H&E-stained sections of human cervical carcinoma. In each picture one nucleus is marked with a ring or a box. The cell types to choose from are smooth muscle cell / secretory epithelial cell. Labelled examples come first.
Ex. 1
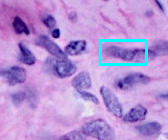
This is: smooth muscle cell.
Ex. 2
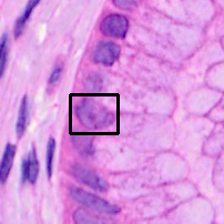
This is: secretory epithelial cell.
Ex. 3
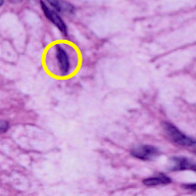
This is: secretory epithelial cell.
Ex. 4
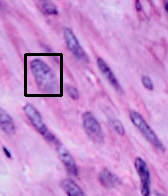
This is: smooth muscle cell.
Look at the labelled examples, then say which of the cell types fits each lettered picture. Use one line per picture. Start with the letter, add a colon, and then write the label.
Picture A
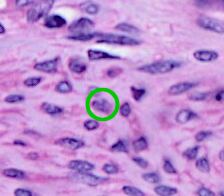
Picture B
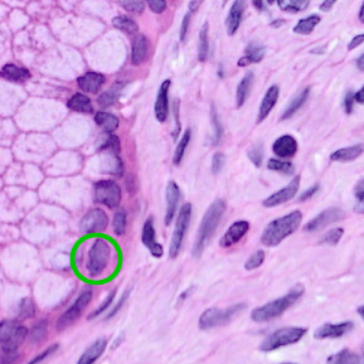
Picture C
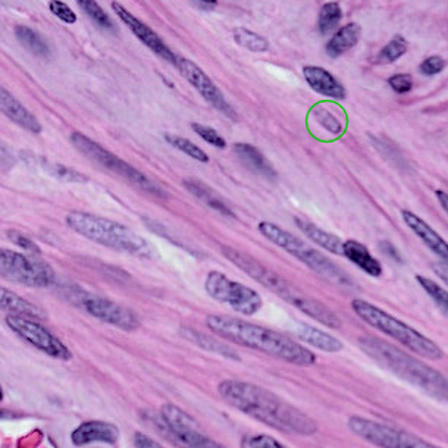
A: smooth muscle cell.
B: secretory epithelial cell.
C: smooth muscle cell.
